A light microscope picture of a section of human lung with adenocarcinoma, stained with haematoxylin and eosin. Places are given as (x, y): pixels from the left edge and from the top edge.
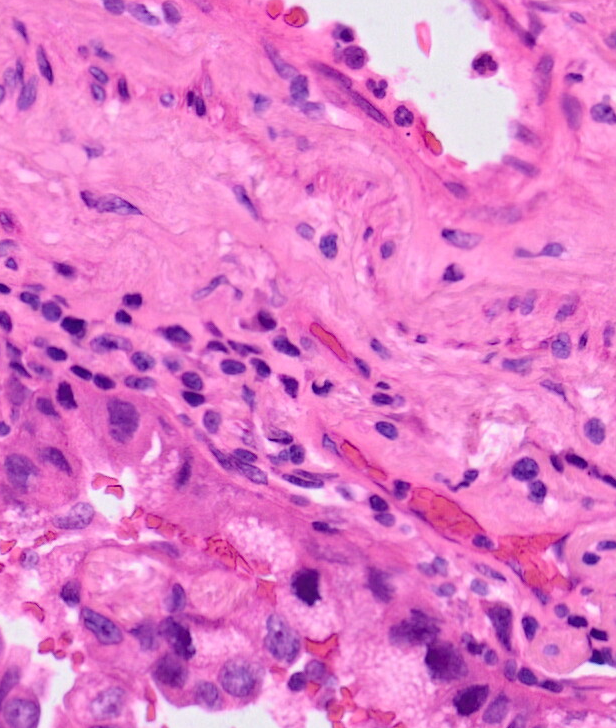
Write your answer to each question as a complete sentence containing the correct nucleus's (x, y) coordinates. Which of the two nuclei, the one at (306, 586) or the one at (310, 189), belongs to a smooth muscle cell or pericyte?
Among the two, the nucleus at (310, 189) is the nucleus of a smooth muscle cell or pericyte.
